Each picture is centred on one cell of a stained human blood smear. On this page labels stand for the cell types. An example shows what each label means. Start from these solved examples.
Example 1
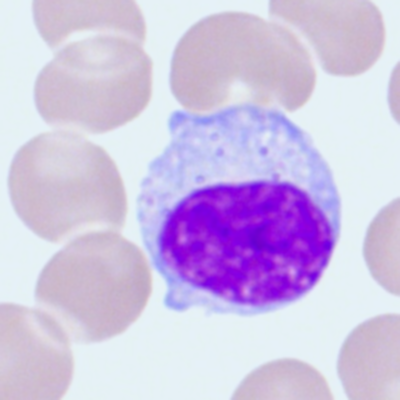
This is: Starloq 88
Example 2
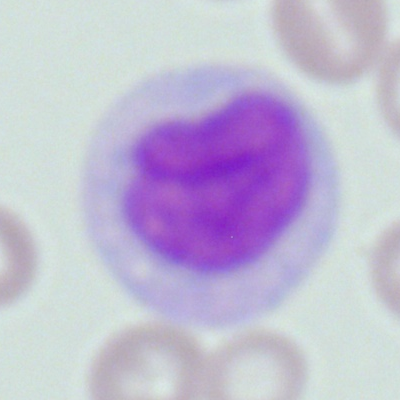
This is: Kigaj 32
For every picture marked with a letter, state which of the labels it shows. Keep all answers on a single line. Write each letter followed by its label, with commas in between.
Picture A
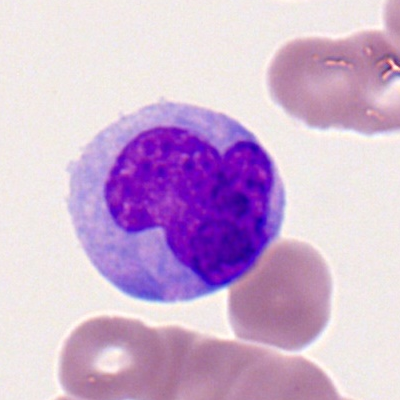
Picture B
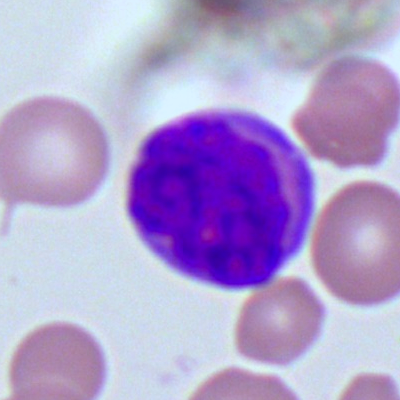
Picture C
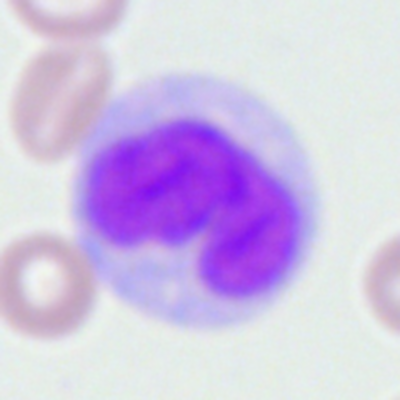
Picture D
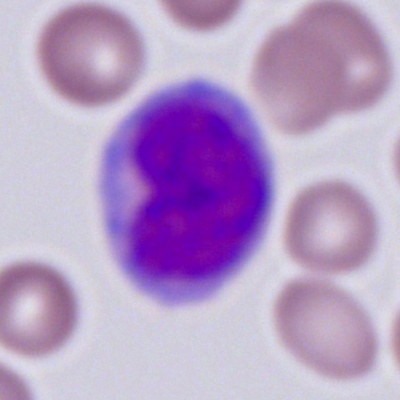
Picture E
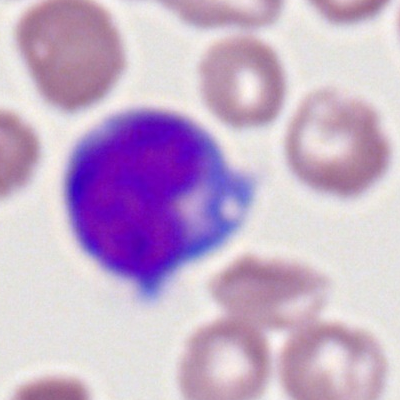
A Kigaj 32, B Starloq 88, C Kigaj 32, D Kigaj 32, E Kigaj 32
